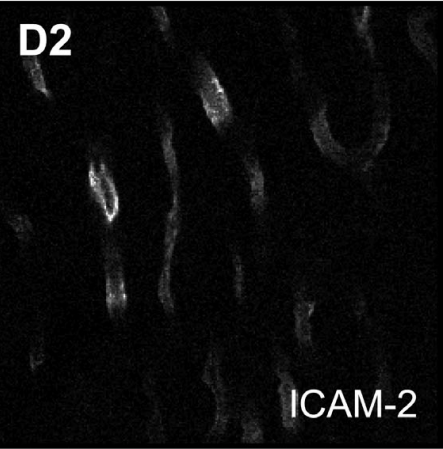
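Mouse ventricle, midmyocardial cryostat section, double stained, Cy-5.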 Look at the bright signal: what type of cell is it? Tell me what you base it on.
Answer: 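Bright outlines form thin elongated tubes and rings. The labelled profiles are spaced between unlabelled dark fibres, like capillaries. The answer: endothelial cells.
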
